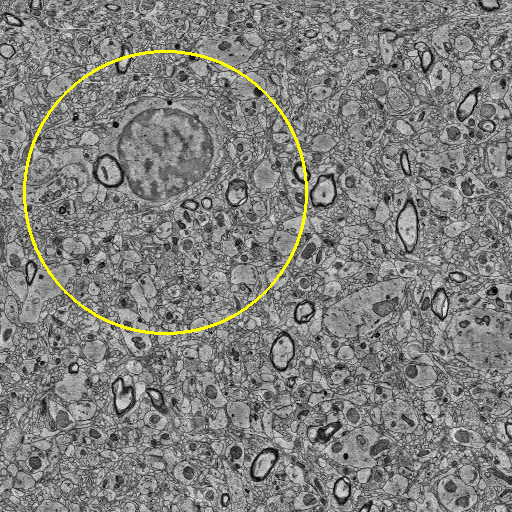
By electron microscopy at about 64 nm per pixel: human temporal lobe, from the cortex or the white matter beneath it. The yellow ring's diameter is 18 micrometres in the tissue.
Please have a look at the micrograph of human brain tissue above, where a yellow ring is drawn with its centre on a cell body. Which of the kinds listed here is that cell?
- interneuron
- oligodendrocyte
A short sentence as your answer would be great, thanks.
At the centre of the ring sits an oligodendrocyte.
